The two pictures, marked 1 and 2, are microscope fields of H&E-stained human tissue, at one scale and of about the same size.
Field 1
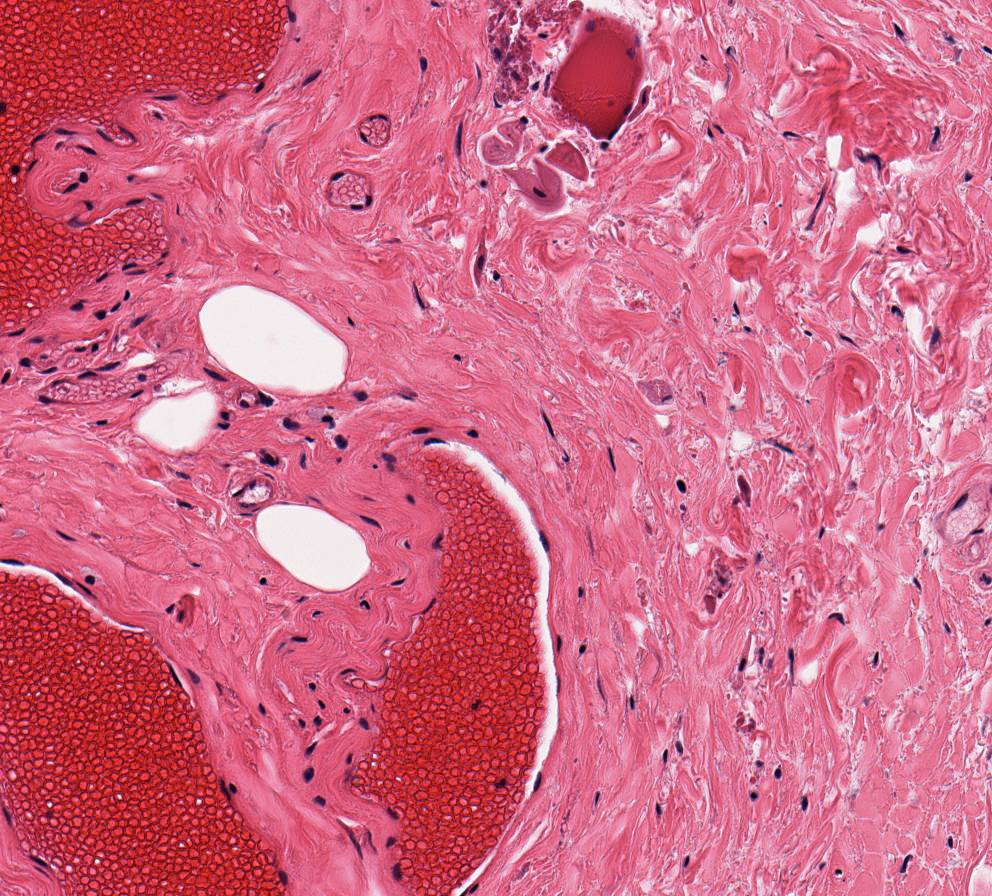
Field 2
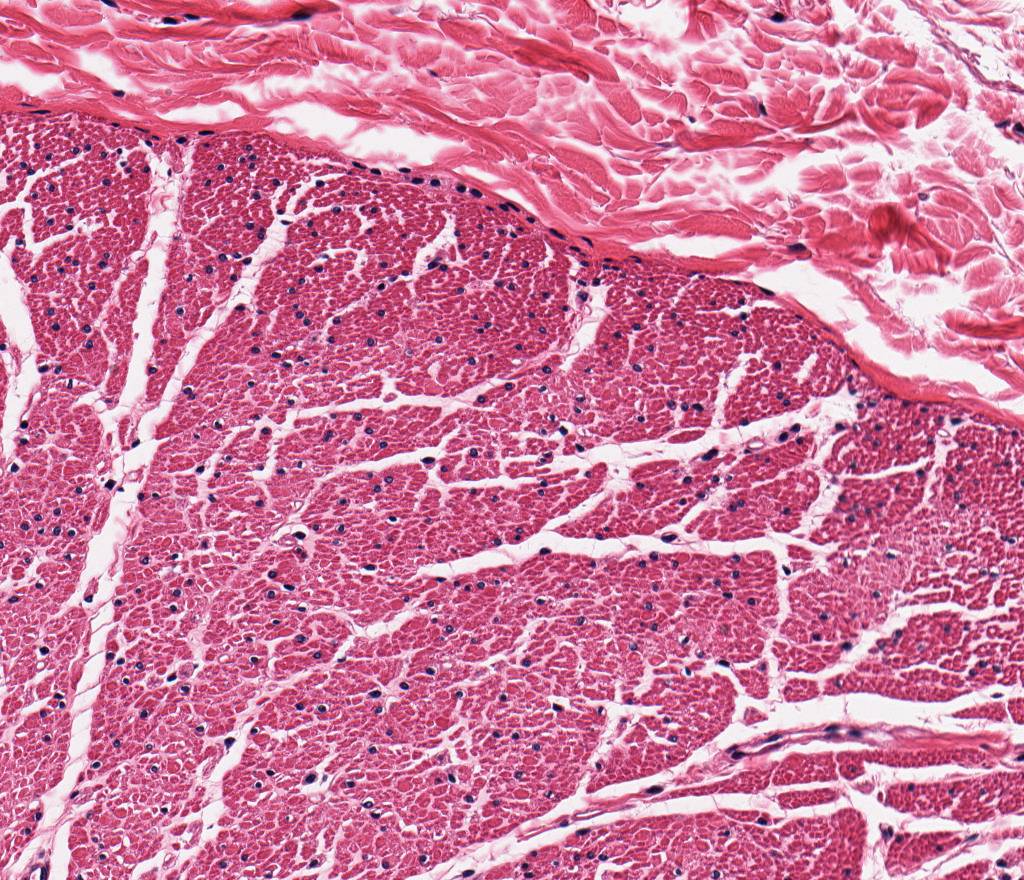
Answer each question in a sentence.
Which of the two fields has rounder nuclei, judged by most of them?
Rounder nuclei lie in field 2.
